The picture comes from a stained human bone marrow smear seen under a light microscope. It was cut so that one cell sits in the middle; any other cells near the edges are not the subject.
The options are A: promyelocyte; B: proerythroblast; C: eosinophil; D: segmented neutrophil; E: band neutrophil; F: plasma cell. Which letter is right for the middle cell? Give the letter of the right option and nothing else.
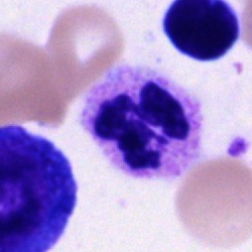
D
